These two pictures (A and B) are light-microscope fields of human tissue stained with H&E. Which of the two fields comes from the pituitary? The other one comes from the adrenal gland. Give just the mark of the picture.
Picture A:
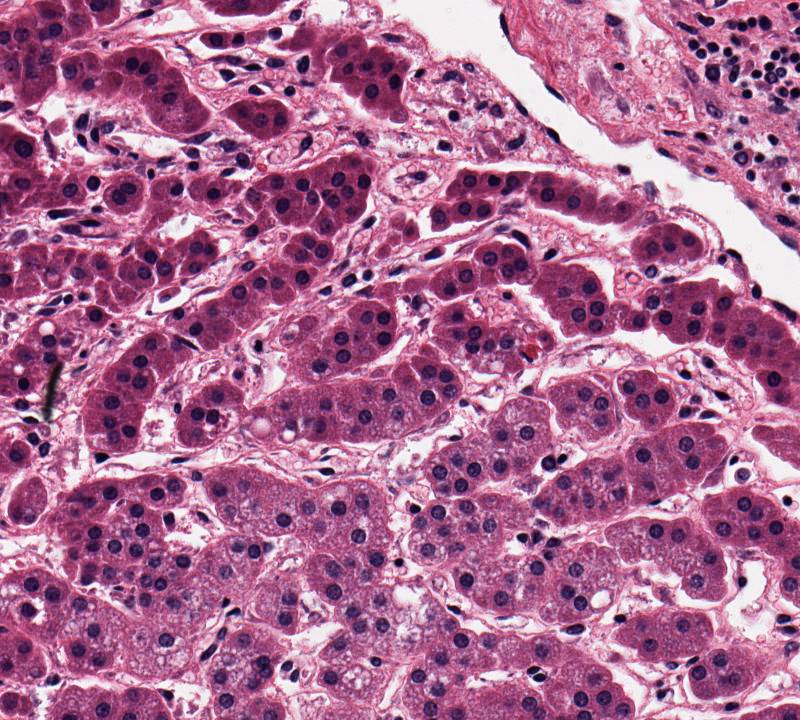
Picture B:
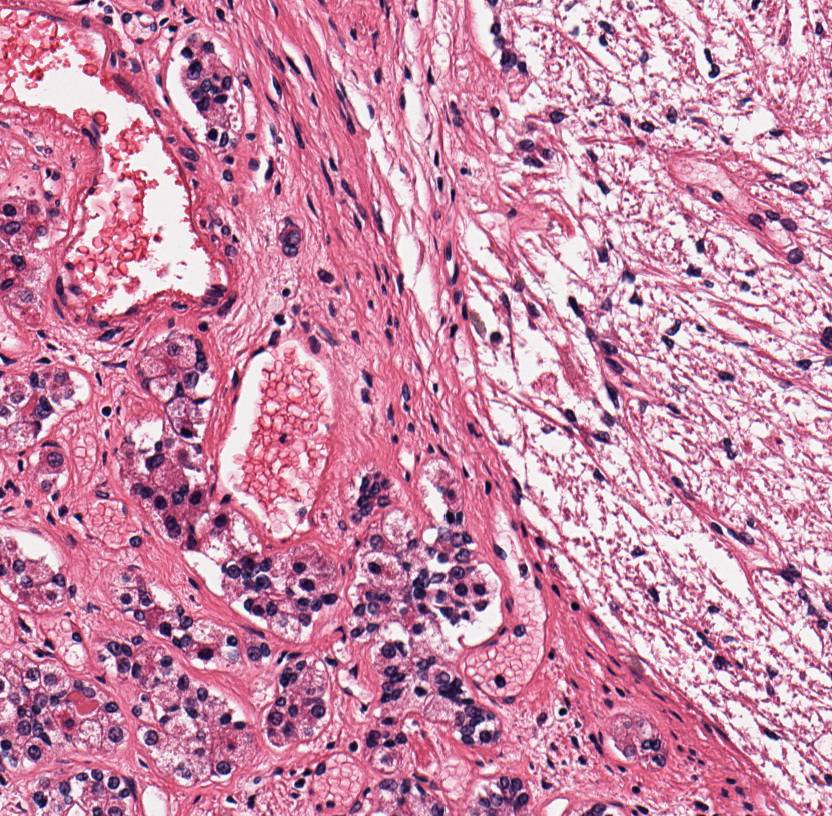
B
